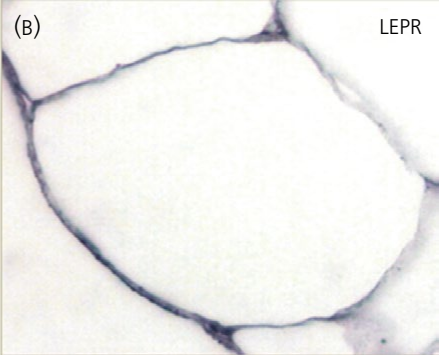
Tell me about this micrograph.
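This is white adipose tissue made of large unilocular adipocytes. One big rounded-polygonal cell fills most of the field, its interior clear and empty where the lipid droplet lay. Parts of neighbouring adipocytes of similar kind touch it along the edges, and the meeting points of several cells form small, darker triangular wedges. No nucleus is clearly seen within the thin rim in this section. The cells lie tightly packed with almost no space between them.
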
